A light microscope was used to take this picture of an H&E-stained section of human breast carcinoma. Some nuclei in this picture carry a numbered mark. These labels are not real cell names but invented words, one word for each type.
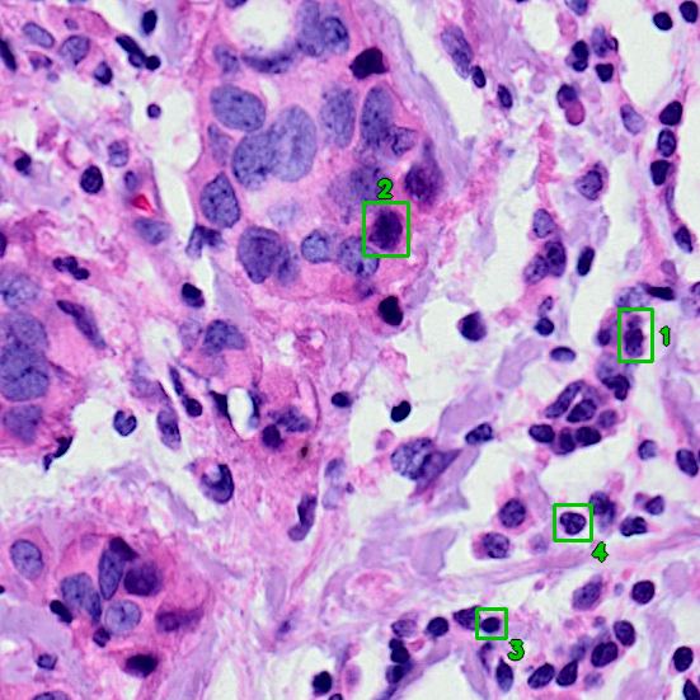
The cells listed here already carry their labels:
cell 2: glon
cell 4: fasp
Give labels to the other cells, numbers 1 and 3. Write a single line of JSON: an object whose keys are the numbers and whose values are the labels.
{"1": "fasp", "3": "fasp"}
